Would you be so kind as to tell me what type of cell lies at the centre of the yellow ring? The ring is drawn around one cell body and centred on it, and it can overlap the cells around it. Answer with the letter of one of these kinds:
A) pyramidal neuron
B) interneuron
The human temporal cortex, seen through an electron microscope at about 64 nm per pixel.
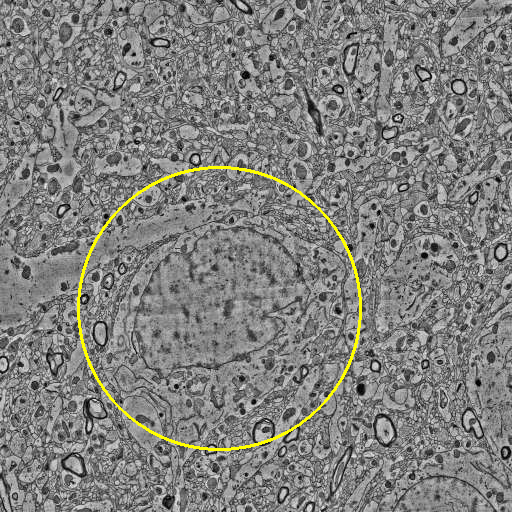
B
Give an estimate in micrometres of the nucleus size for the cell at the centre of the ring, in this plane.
In this plane, the nucleus of the cell at the centre of the ring measures about 12 by 8 micrometres.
